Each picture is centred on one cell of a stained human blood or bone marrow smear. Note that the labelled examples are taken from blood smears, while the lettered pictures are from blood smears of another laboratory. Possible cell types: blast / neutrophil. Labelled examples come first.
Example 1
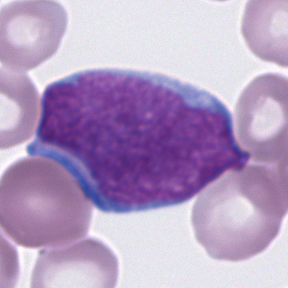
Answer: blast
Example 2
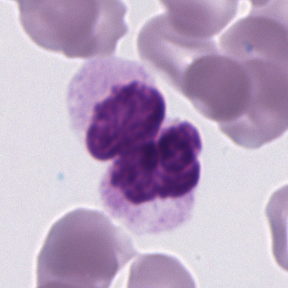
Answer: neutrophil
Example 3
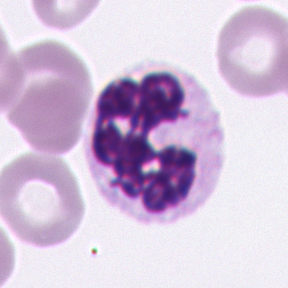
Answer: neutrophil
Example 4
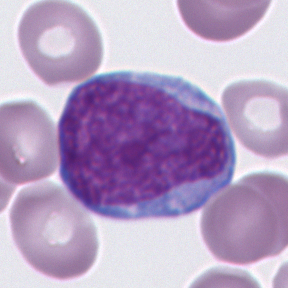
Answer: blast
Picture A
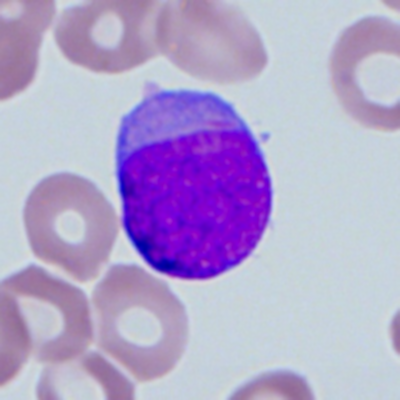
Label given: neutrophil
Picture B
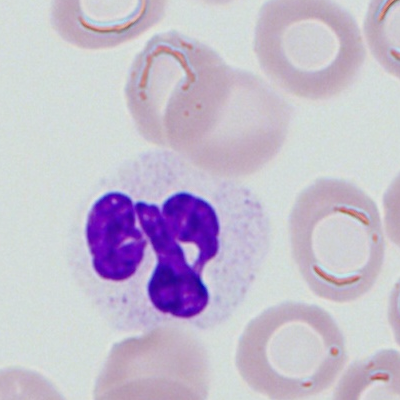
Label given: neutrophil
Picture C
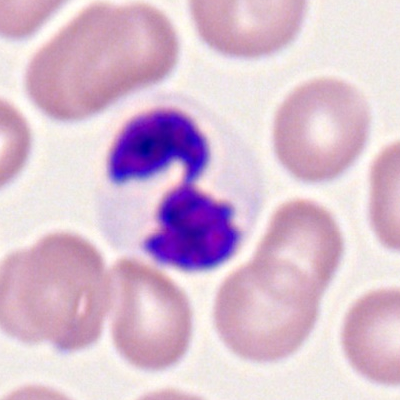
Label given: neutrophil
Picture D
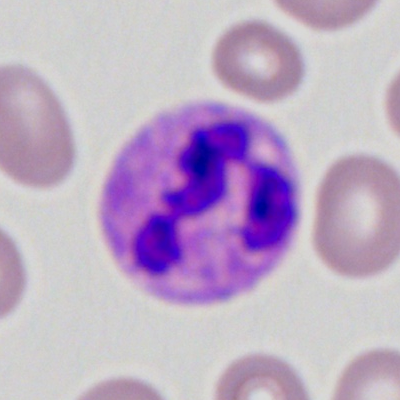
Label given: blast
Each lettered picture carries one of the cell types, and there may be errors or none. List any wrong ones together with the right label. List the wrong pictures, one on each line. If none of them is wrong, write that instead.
Wrong: A (neutrophil); correct: blast
Wrong: D (blast); correct: neutrophil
